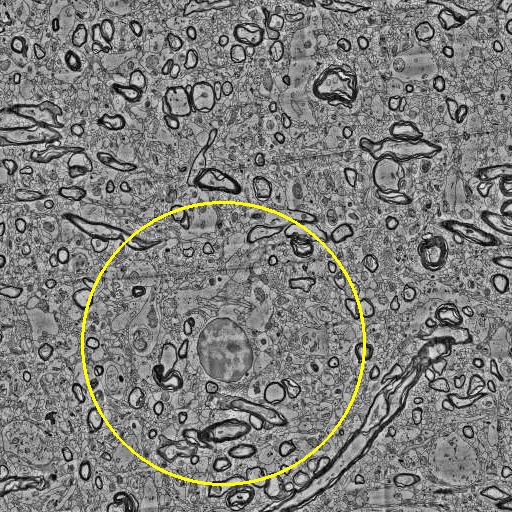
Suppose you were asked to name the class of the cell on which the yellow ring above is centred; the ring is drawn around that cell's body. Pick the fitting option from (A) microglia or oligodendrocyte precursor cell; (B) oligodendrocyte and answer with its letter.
A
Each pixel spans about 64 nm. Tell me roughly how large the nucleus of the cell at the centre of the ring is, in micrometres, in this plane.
In this plane, roughly 4 by 3 micrometres.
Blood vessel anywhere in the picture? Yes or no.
No, no vessel appears in the picture.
